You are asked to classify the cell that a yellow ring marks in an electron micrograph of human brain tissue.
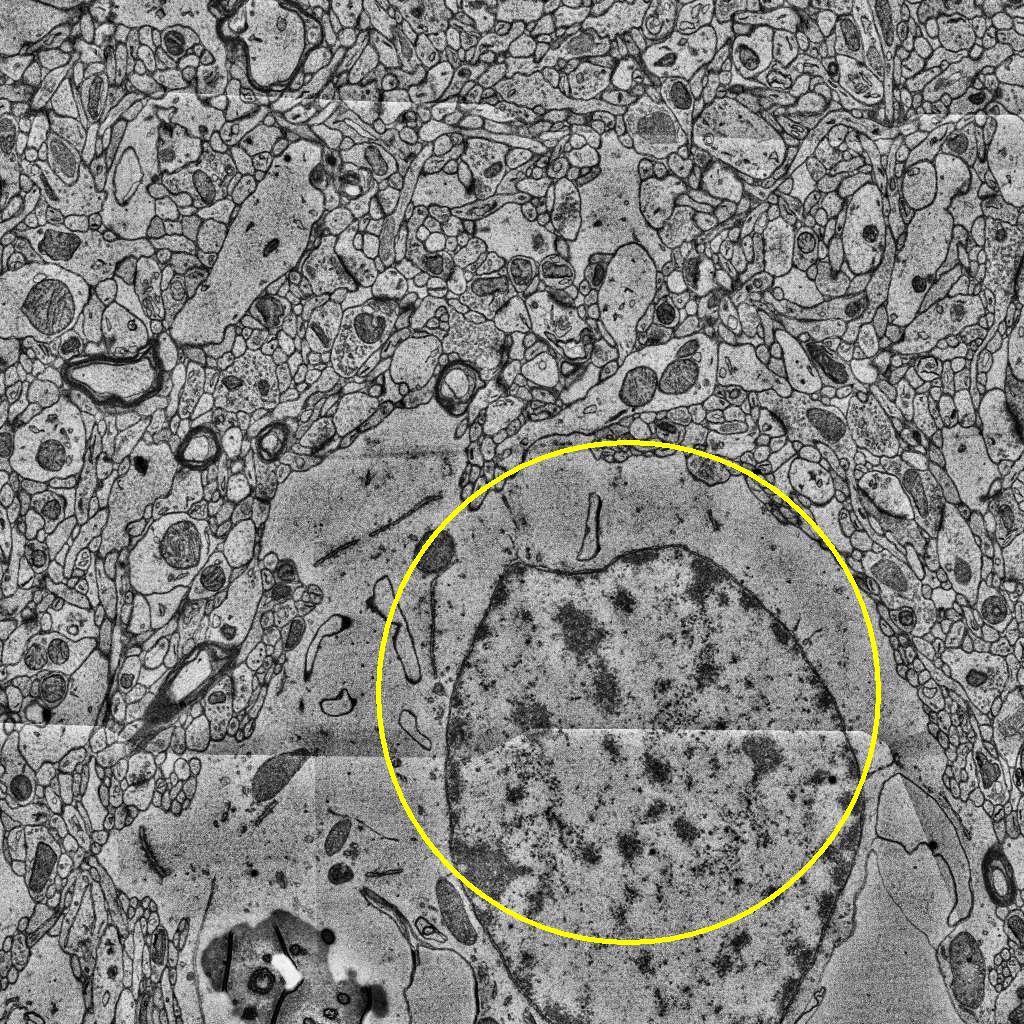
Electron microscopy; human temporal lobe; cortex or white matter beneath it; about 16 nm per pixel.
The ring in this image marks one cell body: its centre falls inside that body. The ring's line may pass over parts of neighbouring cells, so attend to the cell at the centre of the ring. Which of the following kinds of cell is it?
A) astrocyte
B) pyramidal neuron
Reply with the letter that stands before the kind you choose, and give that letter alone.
A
